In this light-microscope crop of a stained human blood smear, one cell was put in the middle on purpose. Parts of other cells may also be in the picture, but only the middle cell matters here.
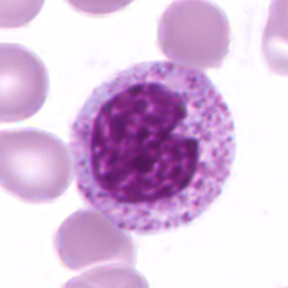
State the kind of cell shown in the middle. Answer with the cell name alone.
band neutrophil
